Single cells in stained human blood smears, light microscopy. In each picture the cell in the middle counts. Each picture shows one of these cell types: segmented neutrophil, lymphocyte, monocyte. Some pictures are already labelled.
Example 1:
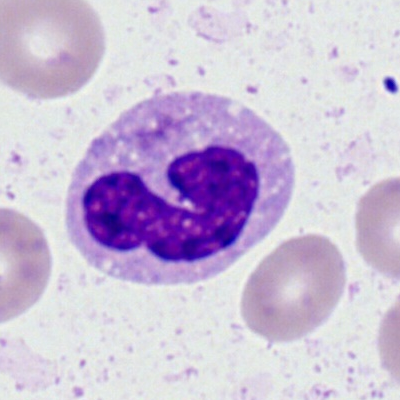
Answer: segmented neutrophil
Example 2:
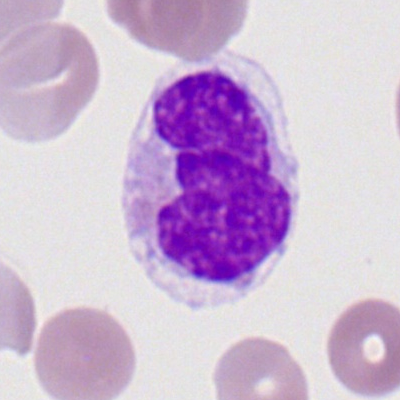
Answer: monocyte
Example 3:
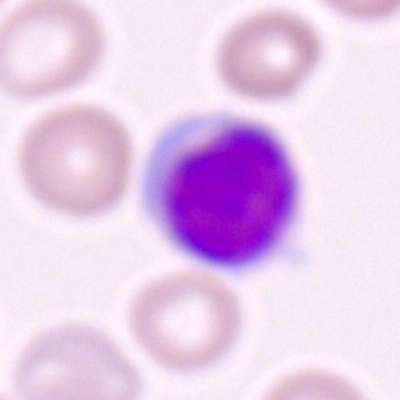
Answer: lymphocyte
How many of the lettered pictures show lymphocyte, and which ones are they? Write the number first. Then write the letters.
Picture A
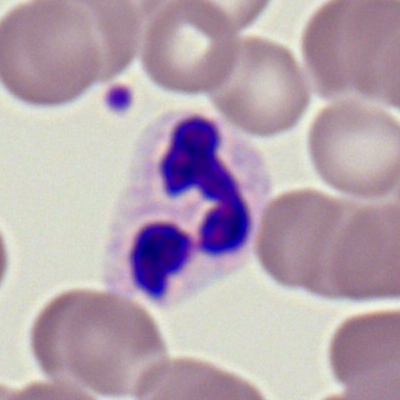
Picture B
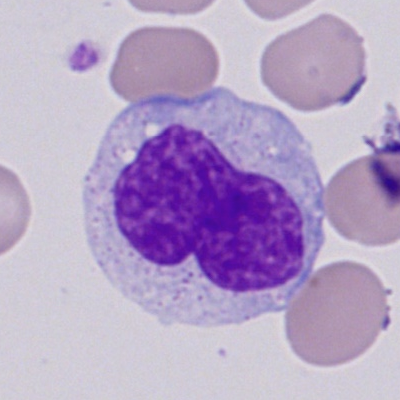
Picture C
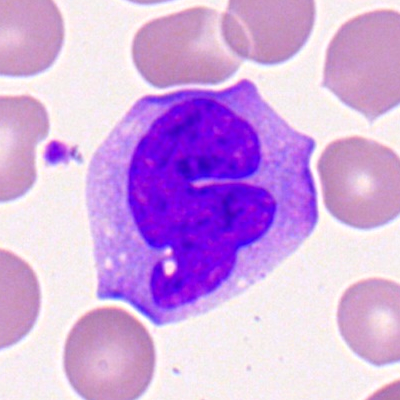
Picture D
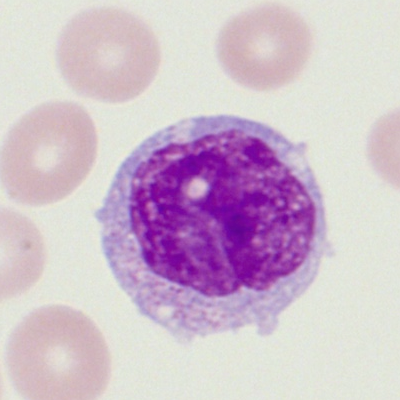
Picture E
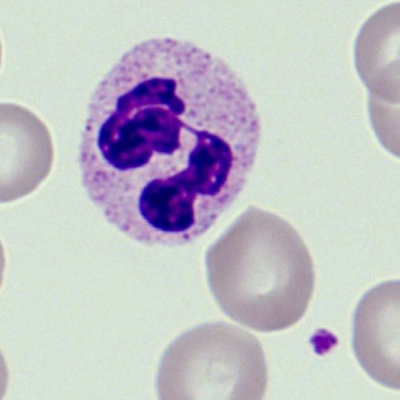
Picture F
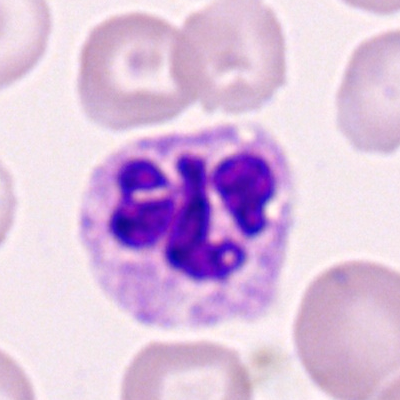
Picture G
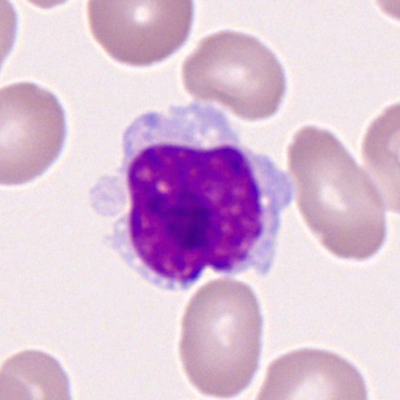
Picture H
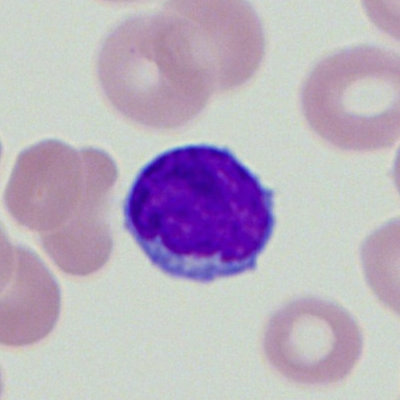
2: G, H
